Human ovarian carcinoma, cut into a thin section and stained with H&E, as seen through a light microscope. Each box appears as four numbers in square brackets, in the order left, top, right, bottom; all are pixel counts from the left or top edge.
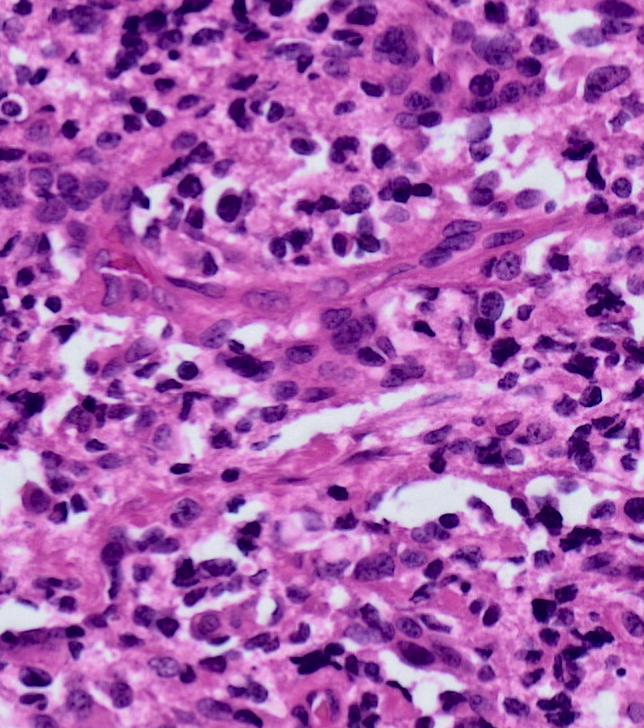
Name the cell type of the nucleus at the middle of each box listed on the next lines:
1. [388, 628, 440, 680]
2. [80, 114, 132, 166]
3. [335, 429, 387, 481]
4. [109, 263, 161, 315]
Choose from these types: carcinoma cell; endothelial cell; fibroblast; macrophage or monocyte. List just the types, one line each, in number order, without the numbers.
carcinoma cell
macrophage or monocyte
fibroblast
endothelial cell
